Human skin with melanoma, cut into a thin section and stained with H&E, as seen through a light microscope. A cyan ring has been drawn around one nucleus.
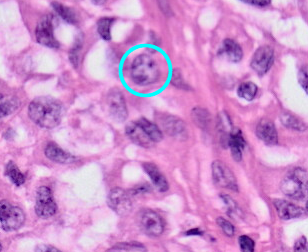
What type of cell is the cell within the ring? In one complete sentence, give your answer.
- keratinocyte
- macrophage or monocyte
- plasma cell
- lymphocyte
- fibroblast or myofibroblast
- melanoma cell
The cell type of the cell within the ring is that of a melanoma cell.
